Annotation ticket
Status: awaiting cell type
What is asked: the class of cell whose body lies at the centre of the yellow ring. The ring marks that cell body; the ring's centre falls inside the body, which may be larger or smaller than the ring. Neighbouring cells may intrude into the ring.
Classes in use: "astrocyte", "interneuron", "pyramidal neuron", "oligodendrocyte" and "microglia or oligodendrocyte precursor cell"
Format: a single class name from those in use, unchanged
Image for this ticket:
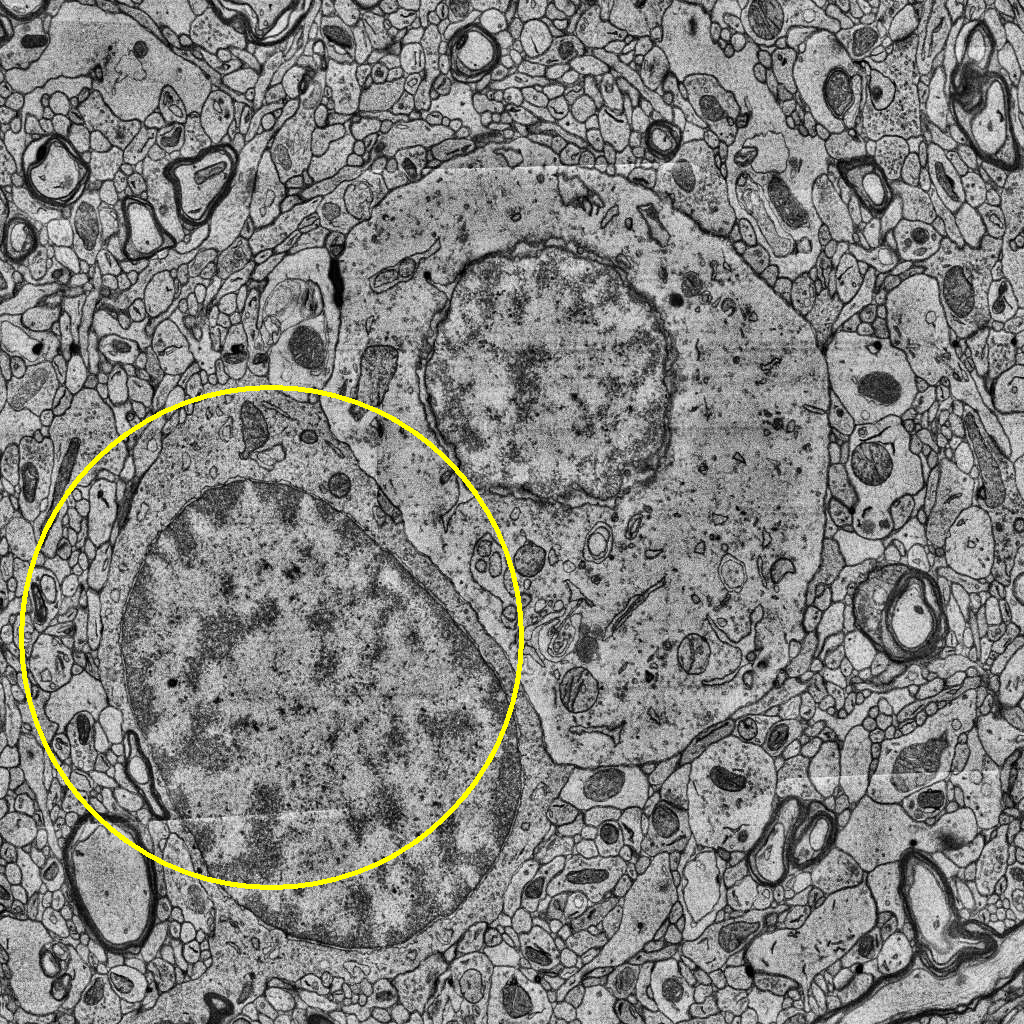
oligodendrocyte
